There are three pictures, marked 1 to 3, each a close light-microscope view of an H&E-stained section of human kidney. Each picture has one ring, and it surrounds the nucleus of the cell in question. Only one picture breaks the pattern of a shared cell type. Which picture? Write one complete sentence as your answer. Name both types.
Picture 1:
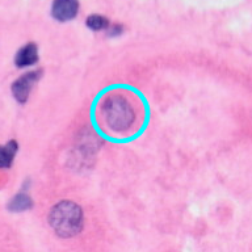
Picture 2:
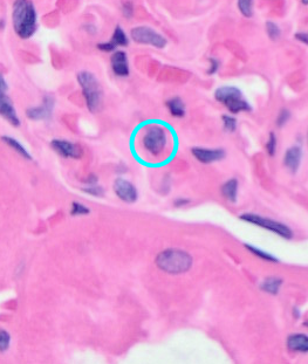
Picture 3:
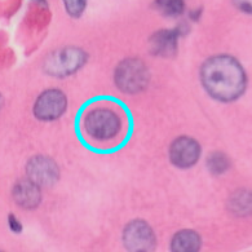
Picture 2 differs, because its cell is an endothelial cell and the rest are proximal tubule cells.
